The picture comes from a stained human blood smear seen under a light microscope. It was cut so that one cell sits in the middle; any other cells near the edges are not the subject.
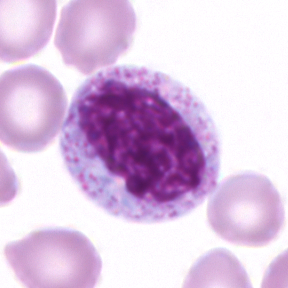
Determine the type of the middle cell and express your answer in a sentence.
Occupying the centre of the crop is a metamyelocyte.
